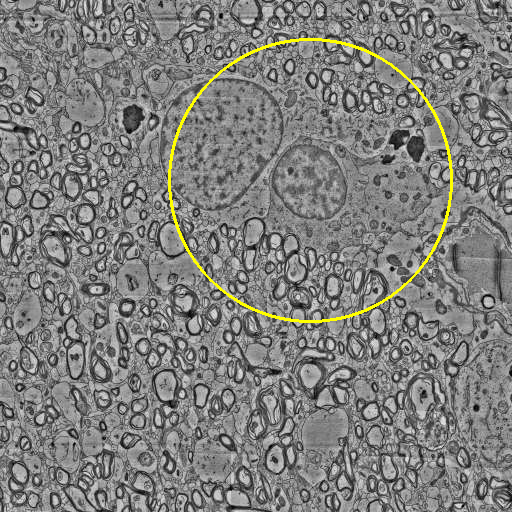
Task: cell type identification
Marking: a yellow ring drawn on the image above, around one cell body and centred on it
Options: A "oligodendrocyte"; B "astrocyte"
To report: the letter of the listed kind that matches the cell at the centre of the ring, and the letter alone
A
